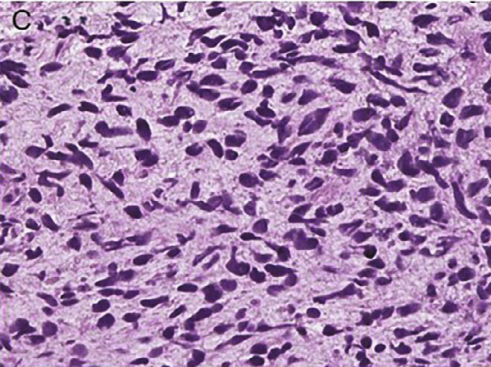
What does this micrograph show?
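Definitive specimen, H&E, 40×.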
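Here are spindled basophilic tumour cells lying in a fibrillary stroma. The nuclei are dark purple and crowded, ranging from slender and tapered to plump, oval and irregular, with clear variation in size and shape. Cytoplasm is scant and hard to separate from the pale pink, finely fibrillary background in which the cells sit. No normal tissue architecture is recognisable in the field.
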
